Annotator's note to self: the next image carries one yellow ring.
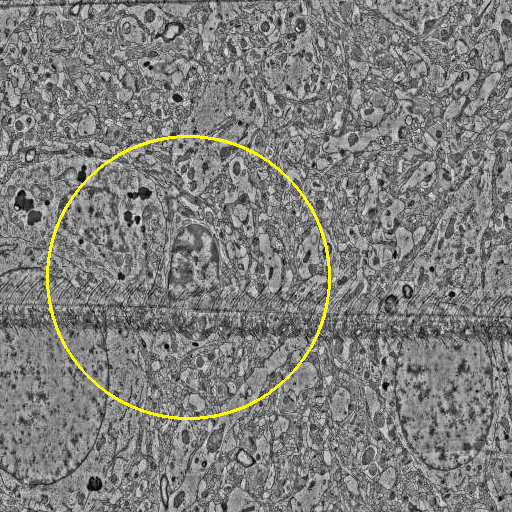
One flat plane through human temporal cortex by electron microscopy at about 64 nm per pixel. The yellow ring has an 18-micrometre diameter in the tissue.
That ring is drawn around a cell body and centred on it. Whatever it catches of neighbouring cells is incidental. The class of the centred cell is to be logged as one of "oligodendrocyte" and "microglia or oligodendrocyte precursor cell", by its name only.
microglia or oligodendrocyte precursor cell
